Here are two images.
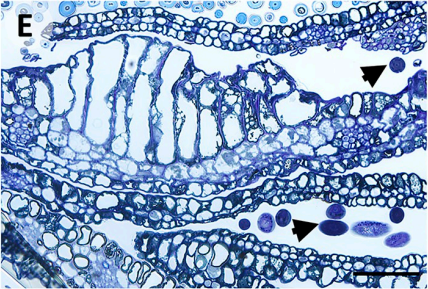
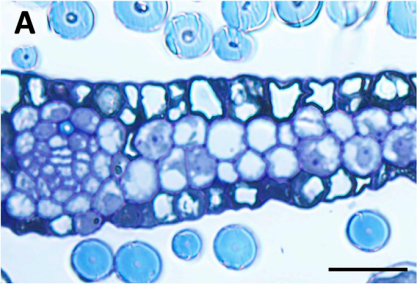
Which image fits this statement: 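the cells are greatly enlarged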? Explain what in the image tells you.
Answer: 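First image: a row of very long, thin-walled cells spans much of the section. Second image: all cells are small and compact in a thin band of few layers. That points to this answer: the first image.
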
